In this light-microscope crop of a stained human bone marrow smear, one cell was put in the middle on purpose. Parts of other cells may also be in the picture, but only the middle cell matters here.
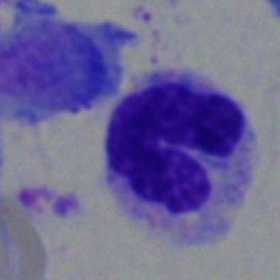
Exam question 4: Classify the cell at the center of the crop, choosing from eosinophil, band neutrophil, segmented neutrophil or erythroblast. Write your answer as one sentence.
In the center of this field lies a band neutrophil.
